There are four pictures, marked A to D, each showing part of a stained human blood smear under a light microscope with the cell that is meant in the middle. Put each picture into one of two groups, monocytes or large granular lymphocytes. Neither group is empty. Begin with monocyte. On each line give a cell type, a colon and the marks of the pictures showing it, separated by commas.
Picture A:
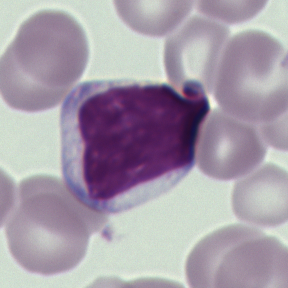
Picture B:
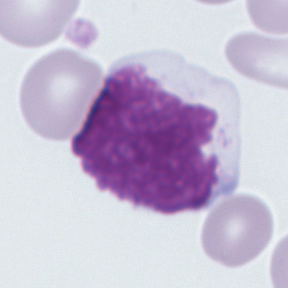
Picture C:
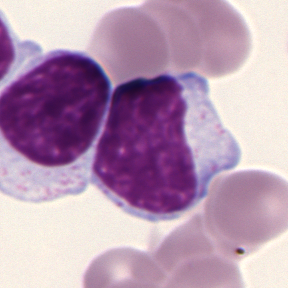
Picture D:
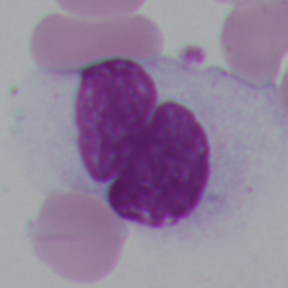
monocyte: D
large granular lymphocyte: A, B, C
